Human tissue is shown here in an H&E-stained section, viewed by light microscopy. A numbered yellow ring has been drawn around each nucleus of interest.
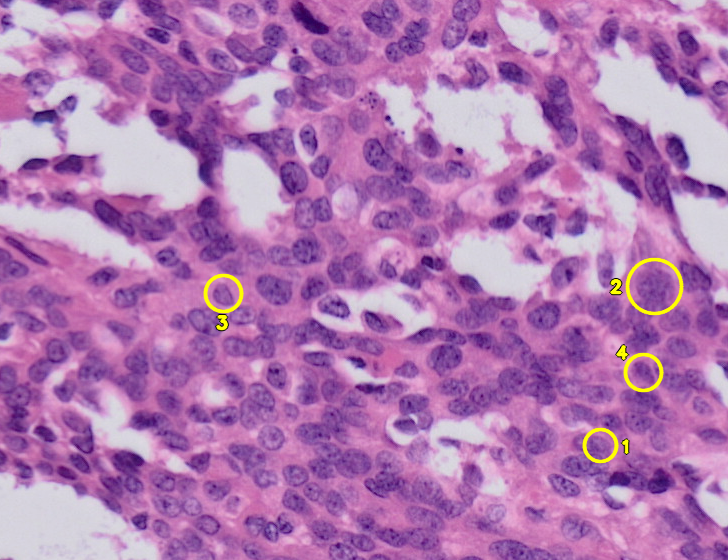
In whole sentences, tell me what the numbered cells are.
Cells 1, 2 and 4 are carcinoma cells. Cell 3 is a macrophage or monocyte.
